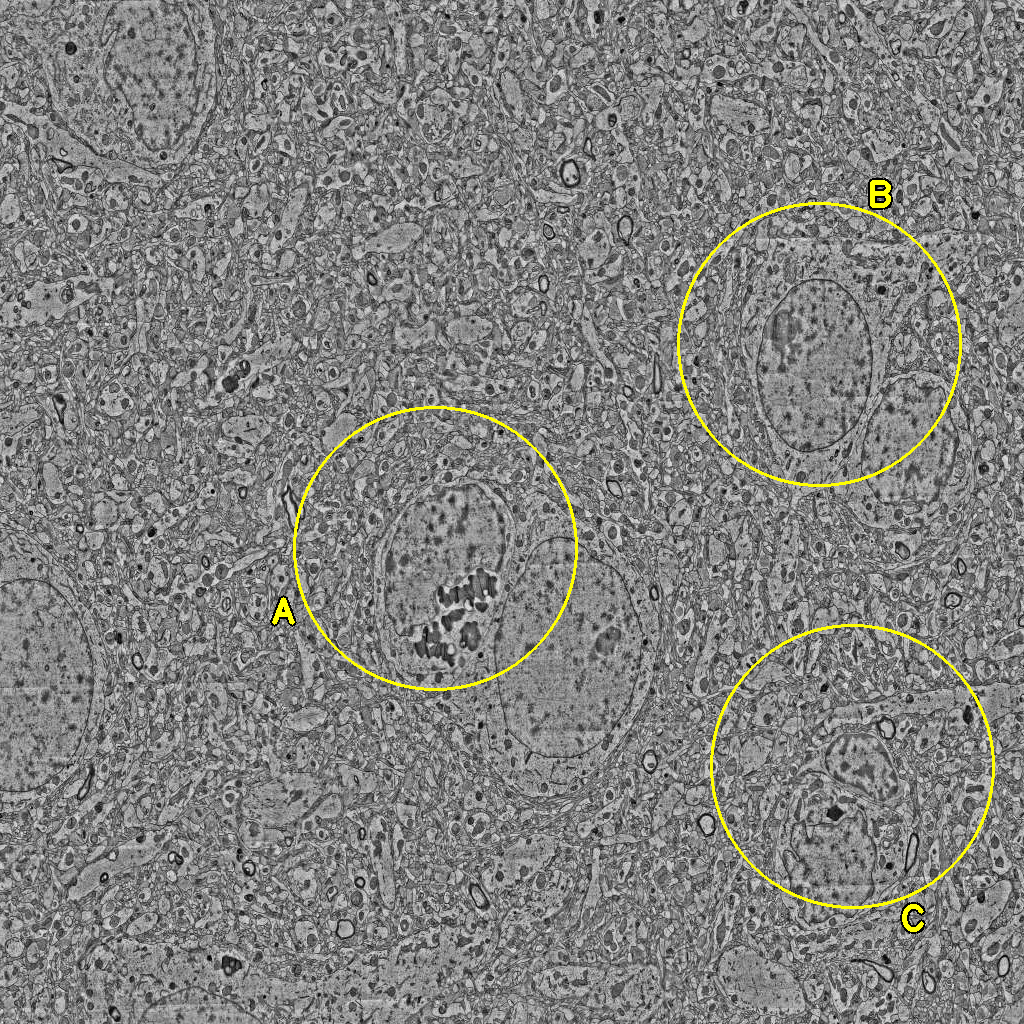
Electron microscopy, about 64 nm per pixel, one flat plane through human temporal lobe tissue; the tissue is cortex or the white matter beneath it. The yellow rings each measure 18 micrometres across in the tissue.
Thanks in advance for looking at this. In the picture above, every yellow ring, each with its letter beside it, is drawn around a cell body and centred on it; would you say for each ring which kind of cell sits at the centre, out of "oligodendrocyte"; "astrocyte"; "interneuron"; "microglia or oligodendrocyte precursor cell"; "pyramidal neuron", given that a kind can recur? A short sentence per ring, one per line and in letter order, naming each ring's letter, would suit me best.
The cell body in ring A belongs to an interneuron.
The cell body in ring B belongs to a pyramidal neuron.
The cell body in ring C belongs to a microglial cell or oligodendrocyte precursor cell.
